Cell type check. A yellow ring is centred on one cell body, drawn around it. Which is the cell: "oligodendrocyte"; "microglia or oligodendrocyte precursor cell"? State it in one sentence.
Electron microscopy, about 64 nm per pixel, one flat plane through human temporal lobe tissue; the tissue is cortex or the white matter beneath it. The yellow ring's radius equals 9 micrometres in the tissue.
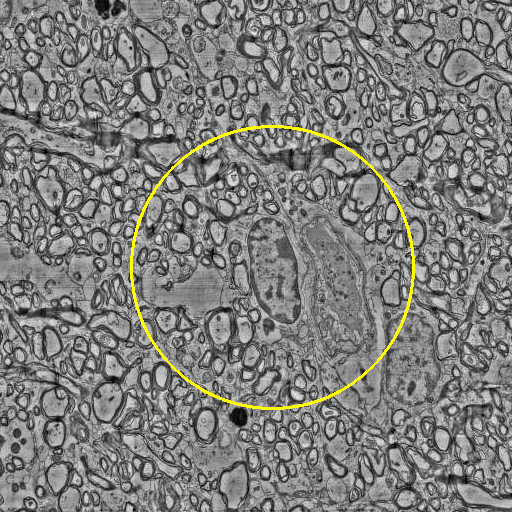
The cell body at the ring's centre belongs to a microglial cell or oligodendrocyte precursor cell.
